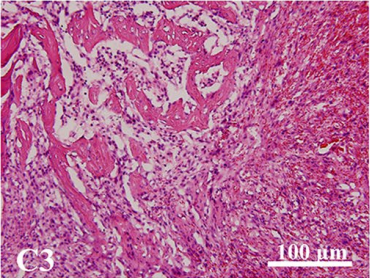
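Slender pink strands of bone wind through the field and are narrower and more delicate than mature trabeculae. Between and around them lies a dense tissue packed with cells that have small dark oval to spindle-shaped nuclei. Cells are lined up along the surfaces of the pink bone strands. Toward the right the tissue is more crowded with cells and the bone strands fade out.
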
